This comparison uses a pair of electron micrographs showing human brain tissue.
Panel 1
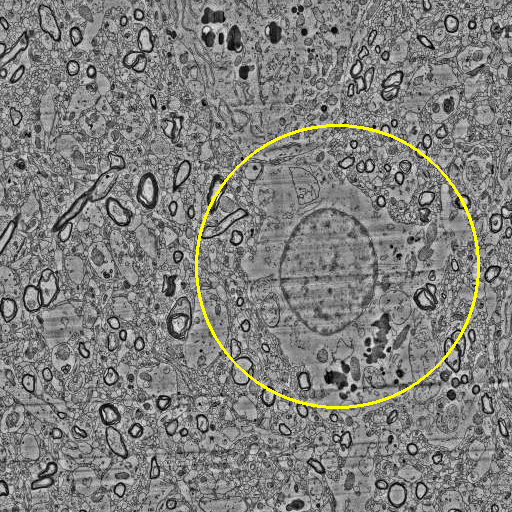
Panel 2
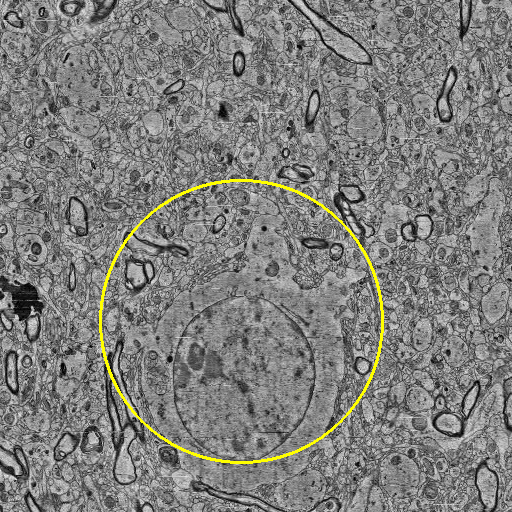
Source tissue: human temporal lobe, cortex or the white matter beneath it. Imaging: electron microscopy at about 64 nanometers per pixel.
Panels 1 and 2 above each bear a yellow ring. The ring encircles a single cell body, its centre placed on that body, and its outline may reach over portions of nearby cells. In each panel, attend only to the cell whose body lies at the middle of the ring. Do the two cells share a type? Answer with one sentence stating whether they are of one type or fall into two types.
In Panel 1 and Panel 2, the cells at the centres of the rings are of one type.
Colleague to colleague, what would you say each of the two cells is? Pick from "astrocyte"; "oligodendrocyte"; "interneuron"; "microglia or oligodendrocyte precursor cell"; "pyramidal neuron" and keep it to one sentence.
Each of the two pictures has an astrocyte at the ring centre.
